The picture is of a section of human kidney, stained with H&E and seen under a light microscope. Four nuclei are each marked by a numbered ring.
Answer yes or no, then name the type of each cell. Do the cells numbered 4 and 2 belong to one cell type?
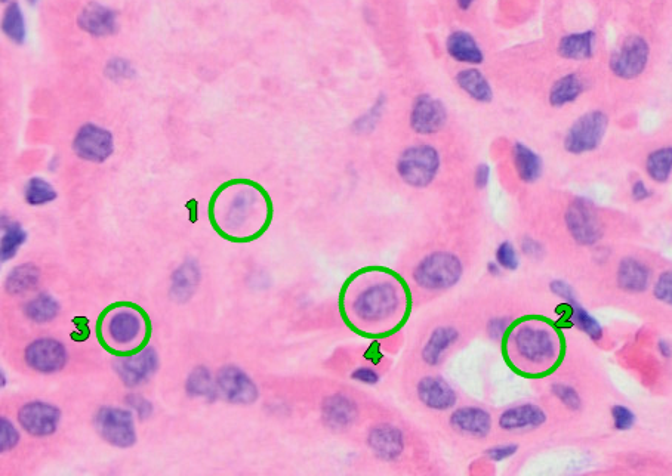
No, whereas cell 2 is a collecting duct cell, cell 4 is a proximal tubule cell.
